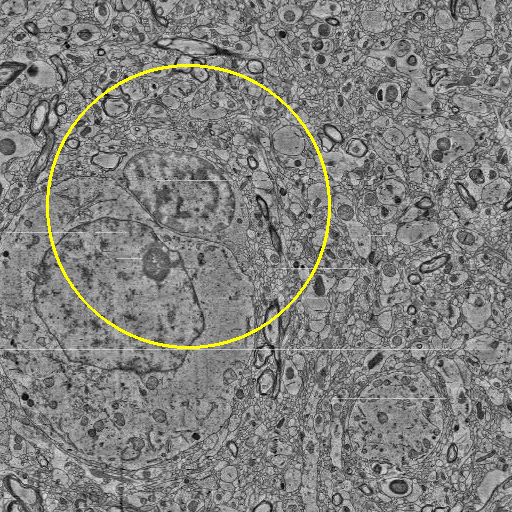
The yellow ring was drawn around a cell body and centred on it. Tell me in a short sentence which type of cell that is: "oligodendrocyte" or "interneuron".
The cell at the ring's centre is an oligodendrocyte.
